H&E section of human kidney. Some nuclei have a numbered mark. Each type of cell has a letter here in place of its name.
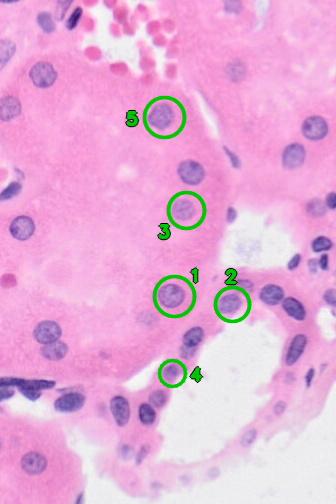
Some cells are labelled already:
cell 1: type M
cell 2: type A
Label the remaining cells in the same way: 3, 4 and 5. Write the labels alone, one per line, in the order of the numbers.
type M
type A
type M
